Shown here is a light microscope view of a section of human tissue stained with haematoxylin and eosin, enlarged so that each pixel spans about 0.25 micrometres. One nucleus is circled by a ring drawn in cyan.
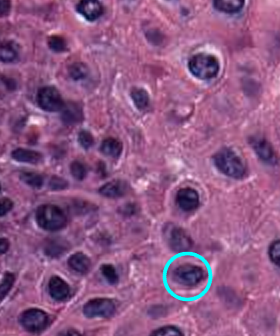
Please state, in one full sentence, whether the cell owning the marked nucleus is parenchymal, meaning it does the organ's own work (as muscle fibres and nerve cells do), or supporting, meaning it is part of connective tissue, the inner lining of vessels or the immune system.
It is the nucleus of a squamous epithelial cell, a parenchymal cell, that is marked.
